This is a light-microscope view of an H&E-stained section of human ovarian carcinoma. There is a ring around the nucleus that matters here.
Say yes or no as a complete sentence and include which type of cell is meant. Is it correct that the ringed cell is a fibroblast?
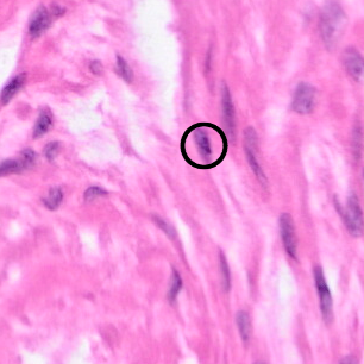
Yes, classifying the ringed cell as a fibroblast is accurate.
